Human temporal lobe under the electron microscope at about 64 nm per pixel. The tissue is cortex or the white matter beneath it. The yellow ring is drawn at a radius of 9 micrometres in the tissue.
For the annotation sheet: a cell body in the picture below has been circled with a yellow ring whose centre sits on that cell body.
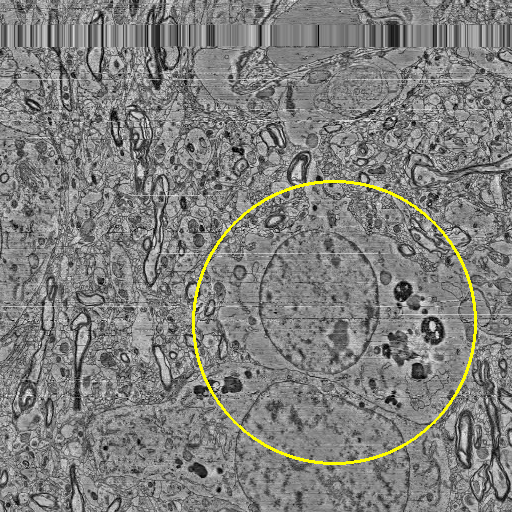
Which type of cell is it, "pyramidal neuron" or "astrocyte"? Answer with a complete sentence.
The circled cell is an astrocyte.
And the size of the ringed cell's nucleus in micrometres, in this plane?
In this plane the nucleus measures roughly 10 by 8 micrometers.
